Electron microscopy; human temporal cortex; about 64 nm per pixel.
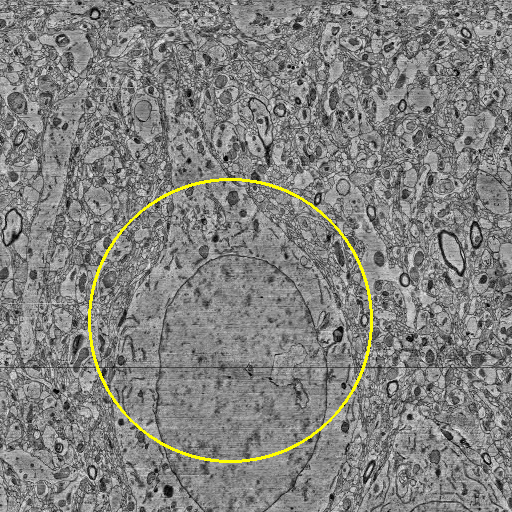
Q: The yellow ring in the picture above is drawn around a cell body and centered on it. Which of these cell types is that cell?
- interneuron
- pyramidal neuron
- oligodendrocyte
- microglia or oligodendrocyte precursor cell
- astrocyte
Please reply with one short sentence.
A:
The cell body at the ring's center belongs to a pyramidal neuron.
